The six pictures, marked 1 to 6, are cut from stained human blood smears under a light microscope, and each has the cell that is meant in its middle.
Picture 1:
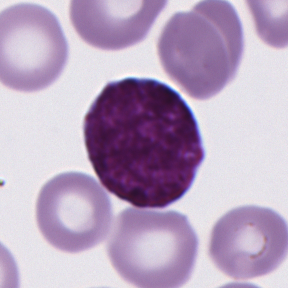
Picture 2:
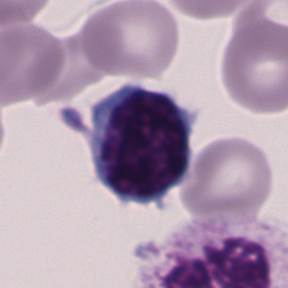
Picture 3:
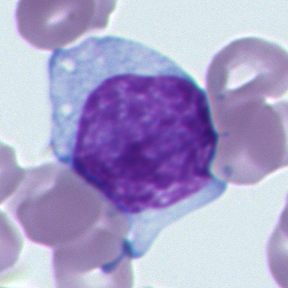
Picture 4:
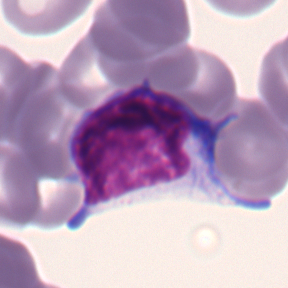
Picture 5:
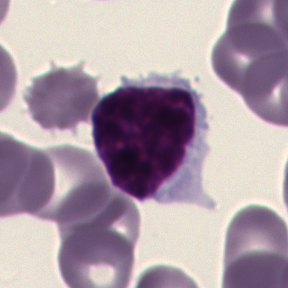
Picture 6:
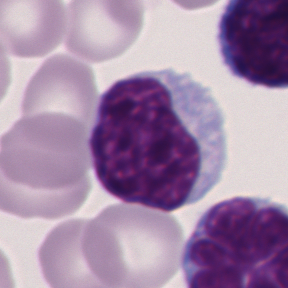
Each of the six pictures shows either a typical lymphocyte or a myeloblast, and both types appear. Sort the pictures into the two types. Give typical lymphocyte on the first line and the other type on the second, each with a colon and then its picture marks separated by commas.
typical lymphocyte: 2, 4, 5, 6
myeloblast: 1, 3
